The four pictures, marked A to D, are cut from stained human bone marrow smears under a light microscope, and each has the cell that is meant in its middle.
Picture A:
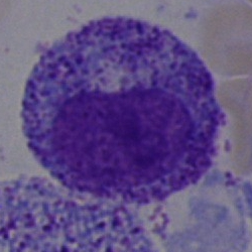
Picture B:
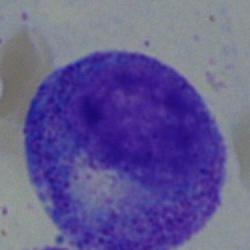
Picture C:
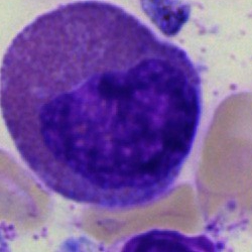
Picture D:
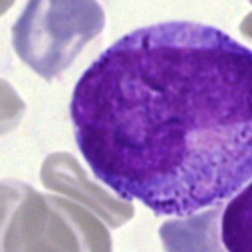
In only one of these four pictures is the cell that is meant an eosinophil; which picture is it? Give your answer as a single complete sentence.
Picture C is the one that shows the eosinophil.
